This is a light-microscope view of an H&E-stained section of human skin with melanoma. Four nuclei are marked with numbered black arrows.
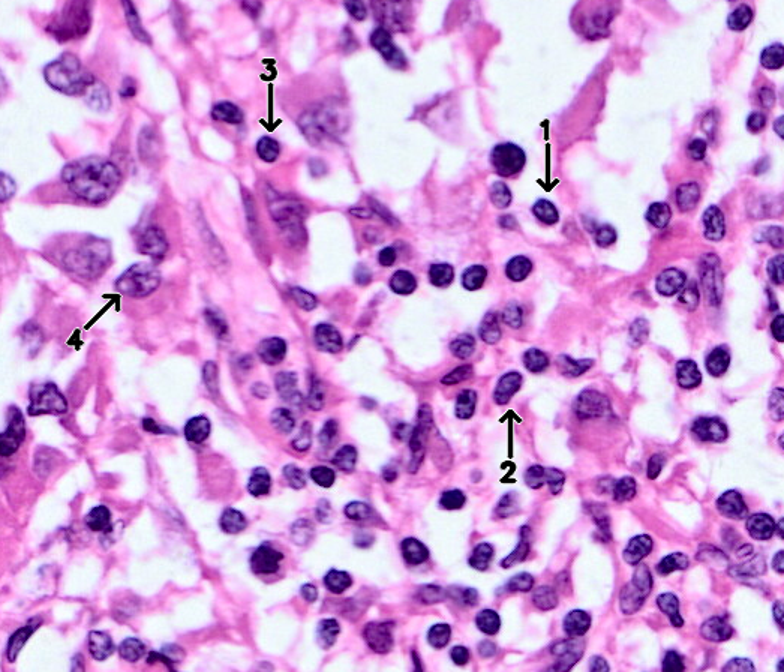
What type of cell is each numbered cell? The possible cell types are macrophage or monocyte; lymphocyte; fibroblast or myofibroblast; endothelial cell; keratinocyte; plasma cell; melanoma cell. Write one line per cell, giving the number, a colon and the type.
1: lymphocyte
2: lymphocyte
3: lymphocyte
4: melanoma cell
